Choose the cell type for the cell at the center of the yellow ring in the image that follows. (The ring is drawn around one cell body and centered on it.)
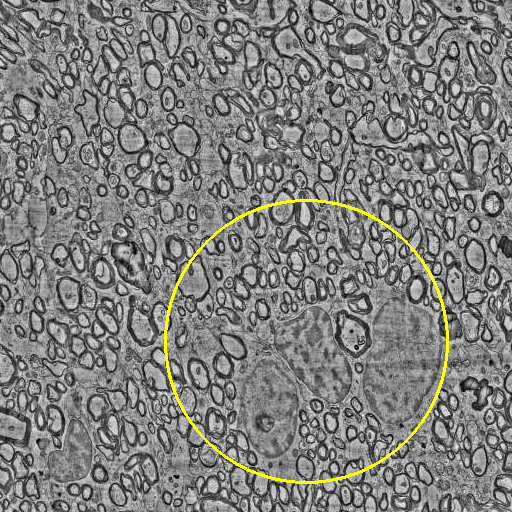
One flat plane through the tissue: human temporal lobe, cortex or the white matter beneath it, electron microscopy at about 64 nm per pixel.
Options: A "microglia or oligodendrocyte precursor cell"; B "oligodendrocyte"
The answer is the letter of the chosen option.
A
